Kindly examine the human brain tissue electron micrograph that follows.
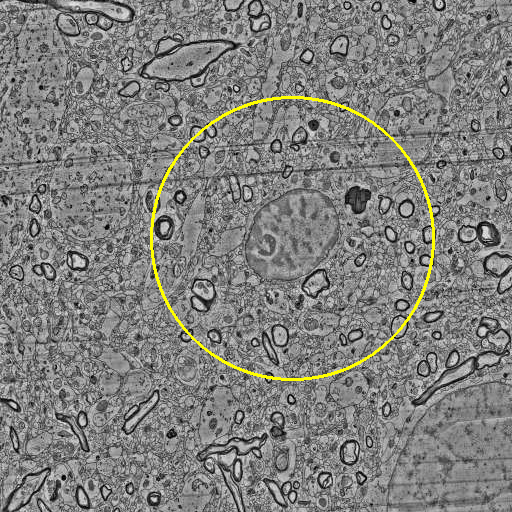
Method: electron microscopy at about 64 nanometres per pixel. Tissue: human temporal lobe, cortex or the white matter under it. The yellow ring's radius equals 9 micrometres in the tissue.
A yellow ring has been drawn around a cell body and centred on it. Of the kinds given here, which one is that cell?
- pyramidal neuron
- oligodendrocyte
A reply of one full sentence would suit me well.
The micrograph's ringed cell, the one at the ring's centre, is an oligodendrocyte.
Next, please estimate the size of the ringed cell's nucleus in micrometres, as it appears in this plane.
In this plane, the nucleus is roughly 7 by 5 micrometres.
